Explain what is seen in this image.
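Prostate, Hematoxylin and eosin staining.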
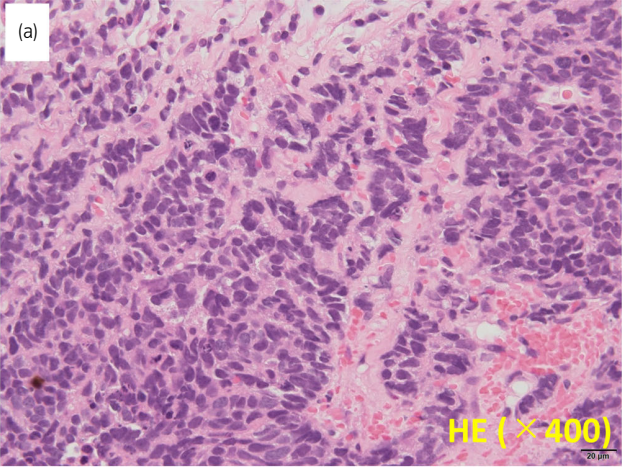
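This biopsy tissue is filled with sheets and cords of small, crowded cells, separated by strands of pale pink fibrous stroma. The nuclei are dark purple, oval to spindle-shaped, and so tightly packed that they press against and mould into one another. Each cell has very little cytoplasm, so the tissue looks mostly blue-purple. Red blood cells lie scattered in the stroma between the cell groups, and no normal glands are to be seen in this field.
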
